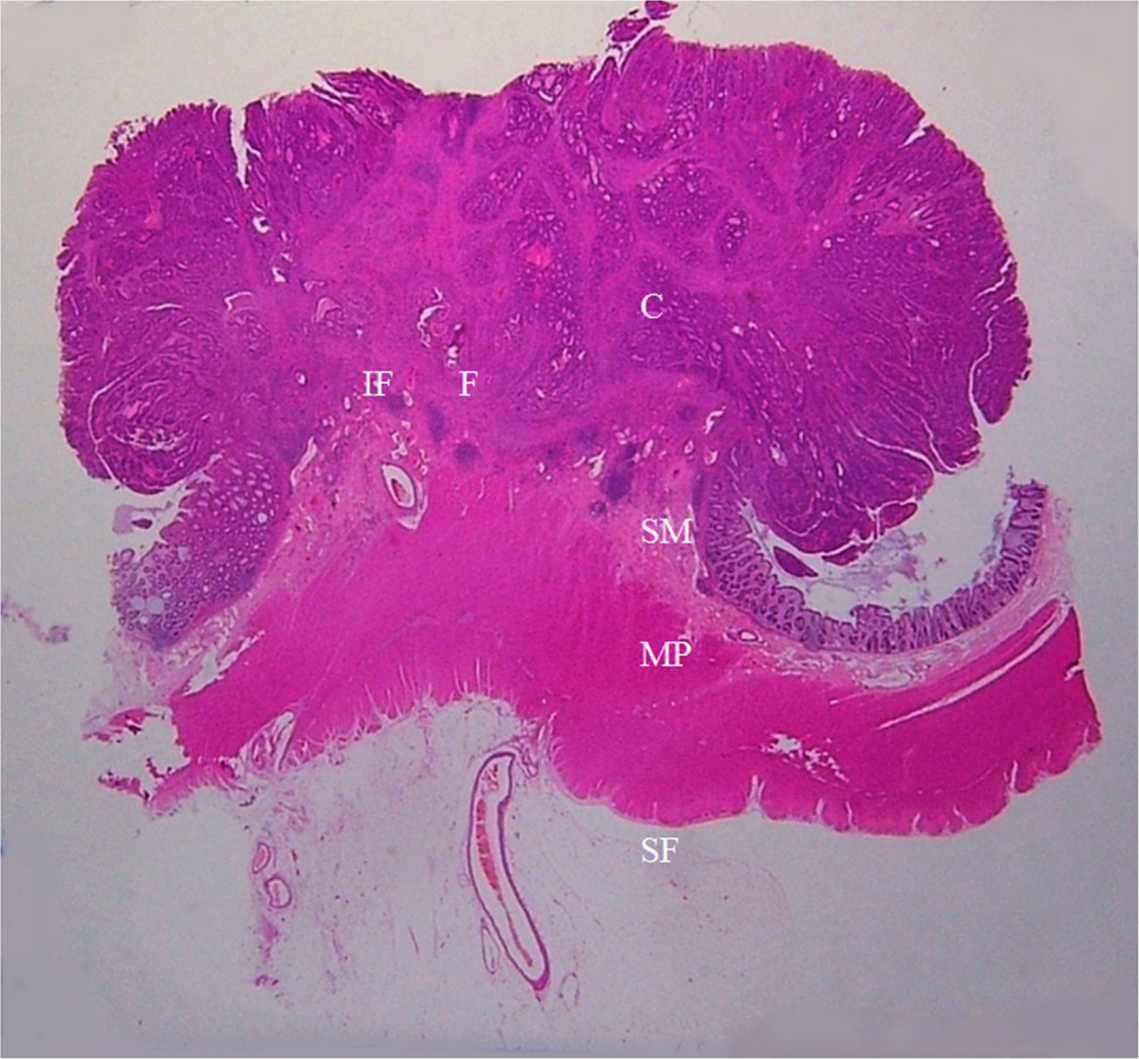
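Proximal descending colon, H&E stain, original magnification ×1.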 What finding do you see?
adenocarcinoma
